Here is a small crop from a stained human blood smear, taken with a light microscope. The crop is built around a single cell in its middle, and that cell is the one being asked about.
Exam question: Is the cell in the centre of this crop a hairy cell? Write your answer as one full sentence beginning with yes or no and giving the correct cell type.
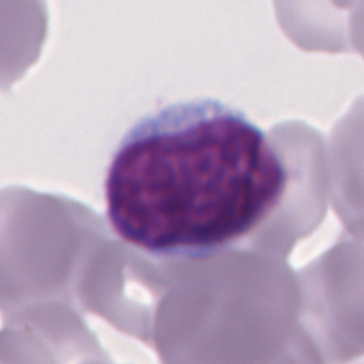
No, the centred cell is a typical lymphocyte instead of a hairy cell.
